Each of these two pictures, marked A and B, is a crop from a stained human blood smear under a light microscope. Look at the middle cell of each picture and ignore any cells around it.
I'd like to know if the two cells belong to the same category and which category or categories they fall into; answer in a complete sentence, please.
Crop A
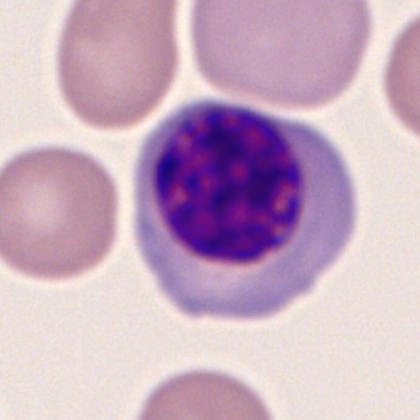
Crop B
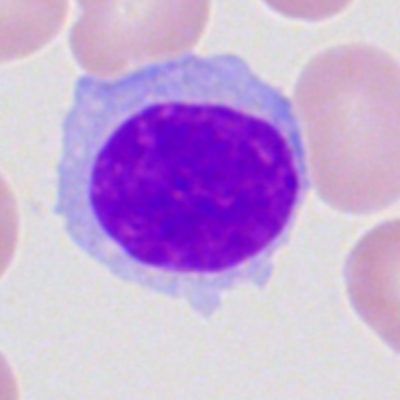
No, crop B holds a lymphocyte, while crop A holds an erythroblast.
